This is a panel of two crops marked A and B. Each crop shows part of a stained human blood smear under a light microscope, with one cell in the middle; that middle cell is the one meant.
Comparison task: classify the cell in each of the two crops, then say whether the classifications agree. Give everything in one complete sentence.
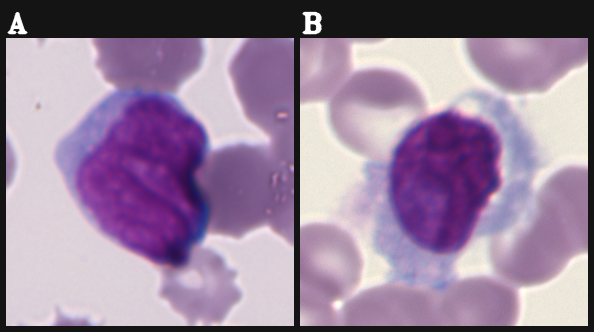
No, the cell of interest in crop A is a myeloblast, and in crop B it is a hairy cell.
